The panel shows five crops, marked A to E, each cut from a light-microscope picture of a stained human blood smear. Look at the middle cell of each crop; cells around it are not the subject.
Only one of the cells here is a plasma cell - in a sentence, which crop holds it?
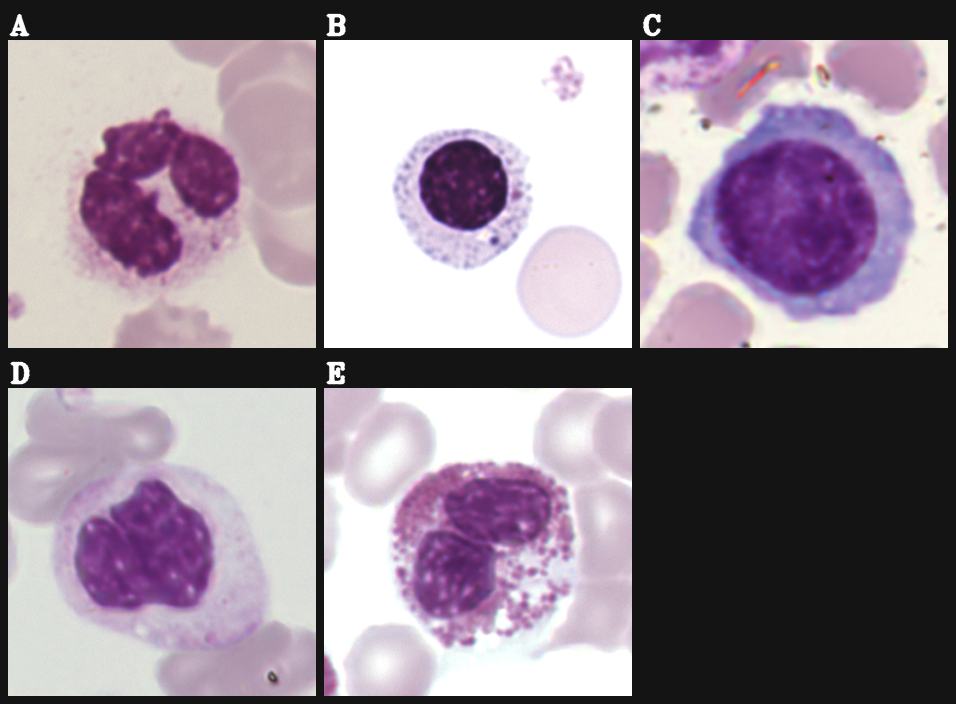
Crop C is the crop whose central cell is a plasma cell.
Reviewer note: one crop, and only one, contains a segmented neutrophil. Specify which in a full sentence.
Crop A is where a segmented neutrophil is shown.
